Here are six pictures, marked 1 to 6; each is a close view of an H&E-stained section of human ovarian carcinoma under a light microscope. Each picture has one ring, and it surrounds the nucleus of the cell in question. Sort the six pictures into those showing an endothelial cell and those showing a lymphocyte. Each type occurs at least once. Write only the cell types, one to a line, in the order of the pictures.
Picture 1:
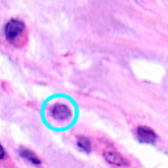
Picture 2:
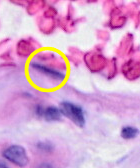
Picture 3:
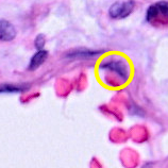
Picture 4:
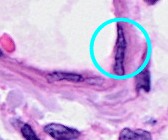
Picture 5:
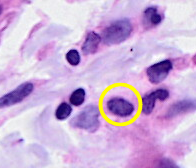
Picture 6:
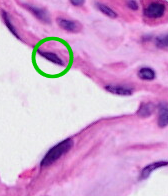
lymphocyte
endothelial cell
endothelial cell
endothelial cell
lymphocyte
endothelial cell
